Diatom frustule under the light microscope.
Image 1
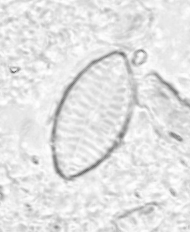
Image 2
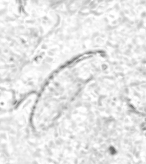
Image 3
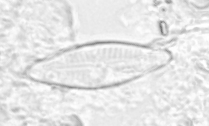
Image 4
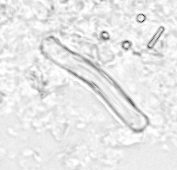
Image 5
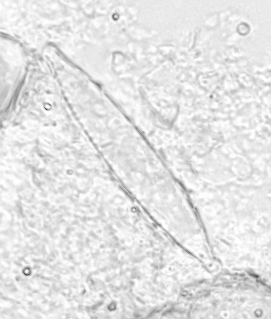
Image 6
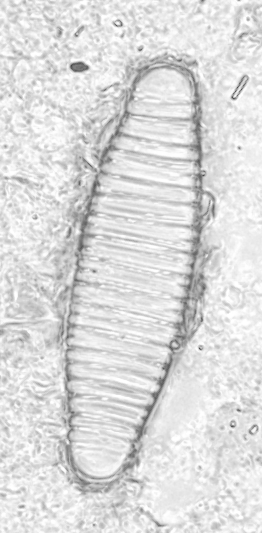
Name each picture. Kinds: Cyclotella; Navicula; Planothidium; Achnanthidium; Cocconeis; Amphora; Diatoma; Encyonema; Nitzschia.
1. Navicula
2. Amphora
3. Navicula
4. Achnanthidium
5. Nitzschia
6. Diatoma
